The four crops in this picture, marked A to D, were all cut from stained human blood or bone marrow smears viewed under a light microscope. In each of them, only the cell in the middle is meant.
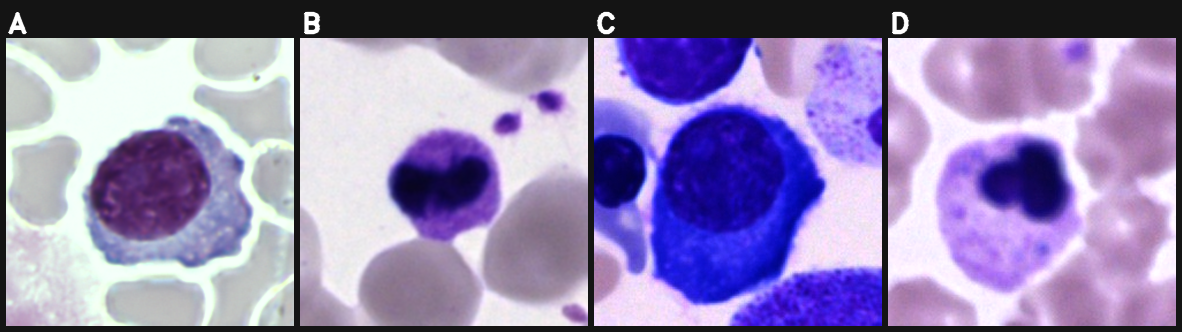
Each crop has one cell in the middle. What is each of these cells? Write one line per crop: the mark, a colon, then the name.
A: plasma cell
B: segmented neutrophil
C: plasma cell
D: segmented neutrophil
